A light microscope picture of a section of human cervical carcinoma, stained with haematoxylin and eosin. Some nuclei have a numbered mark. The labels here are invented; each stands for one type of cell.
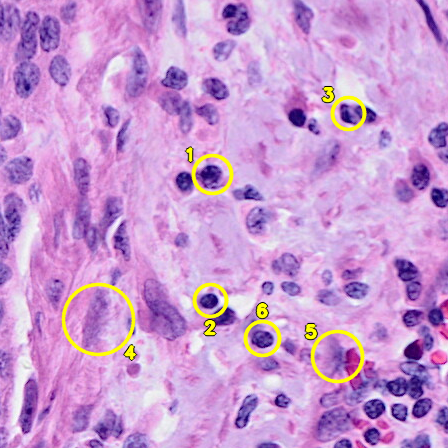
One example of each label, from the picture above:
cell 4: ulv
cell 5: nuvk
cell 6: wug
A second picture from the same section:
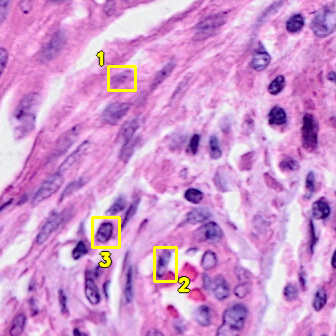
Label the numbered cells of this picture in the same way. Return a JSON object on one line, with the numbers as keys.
{"1": "ulv", "2": "nuvk", "3": "wug"}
